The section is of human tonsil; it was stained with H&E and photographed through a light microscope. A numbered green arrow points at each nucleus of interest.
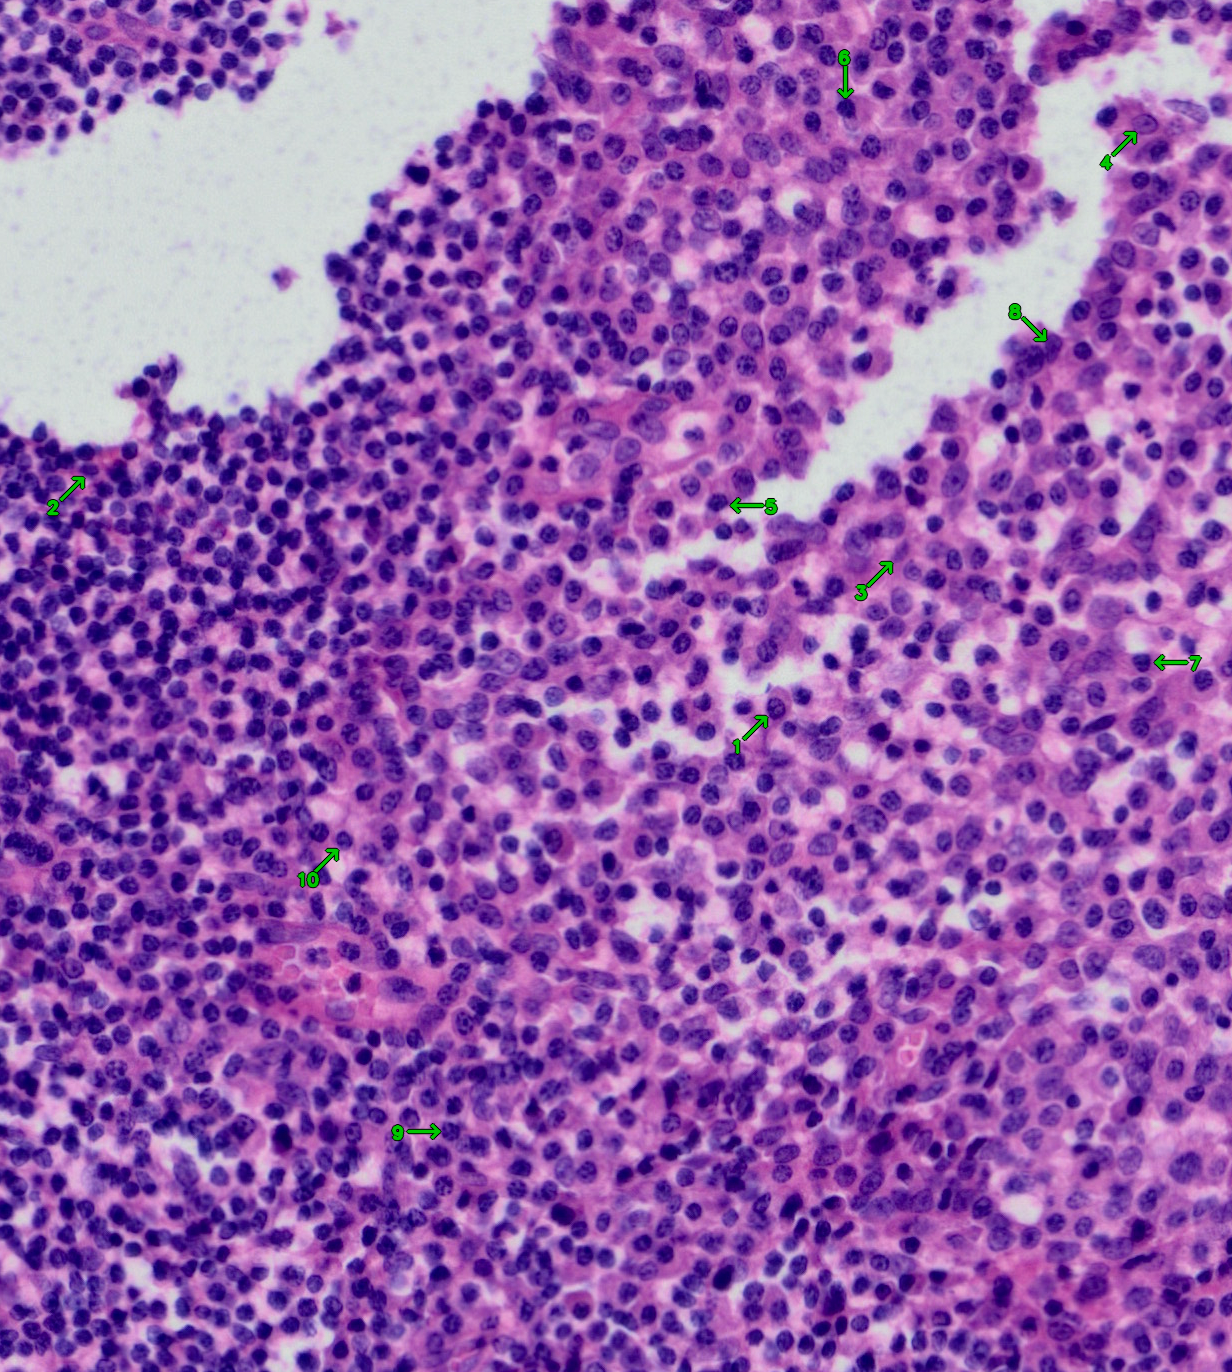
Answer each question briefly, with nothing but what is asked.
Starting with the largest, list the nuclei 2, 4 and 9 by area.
4, 9, 2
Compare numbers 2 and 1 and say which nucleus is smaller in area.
2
